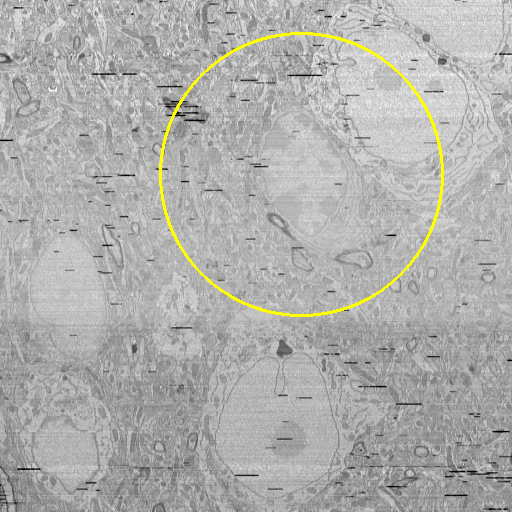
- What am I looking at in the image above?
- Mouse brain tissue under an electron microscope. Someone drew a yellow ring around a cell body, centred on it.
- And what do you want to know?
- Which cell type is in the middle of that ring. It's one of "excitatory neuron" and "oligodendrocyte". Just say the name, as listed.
oligodendrocyte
